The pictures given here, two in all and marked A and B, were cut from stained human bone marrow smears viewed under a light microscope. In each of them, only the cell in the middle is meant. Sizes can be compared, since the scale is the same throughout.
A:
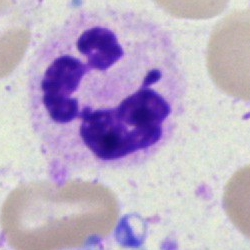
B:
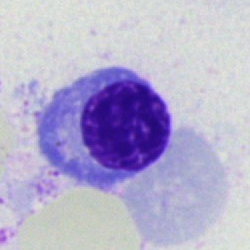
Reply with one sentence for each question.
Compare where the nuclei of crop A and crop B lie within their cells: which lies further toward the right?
It is the nucleus in crop B that lies further toward the right of its cell.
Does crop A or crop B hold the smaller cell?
Crop B holds the smaller cell, since the cell in crop A covers about 1.5 times as much area.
